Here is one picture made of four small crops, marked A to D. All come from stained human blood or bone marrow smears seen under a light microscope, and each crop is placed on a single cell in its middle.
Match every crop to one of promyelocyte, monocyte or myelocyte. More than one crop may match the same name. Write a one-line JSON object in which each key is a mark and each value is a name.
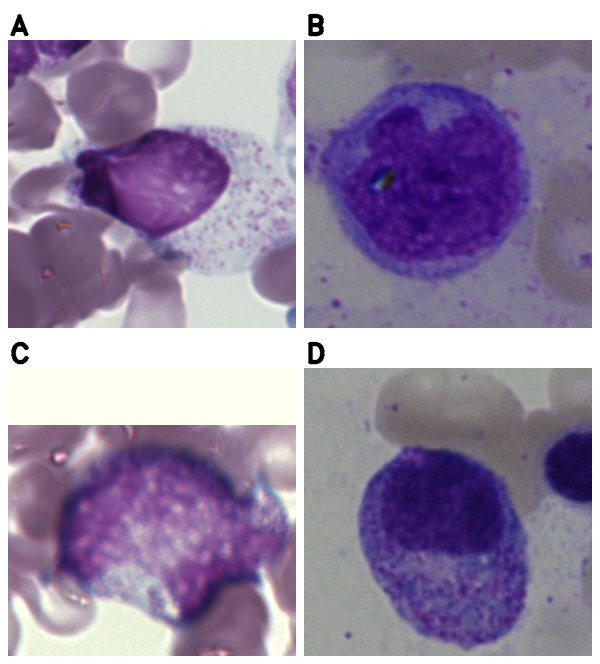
{"A": "myelocyte", "B": "monocyte", "C": "promyelocyte", "D": "promyelocyte"}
